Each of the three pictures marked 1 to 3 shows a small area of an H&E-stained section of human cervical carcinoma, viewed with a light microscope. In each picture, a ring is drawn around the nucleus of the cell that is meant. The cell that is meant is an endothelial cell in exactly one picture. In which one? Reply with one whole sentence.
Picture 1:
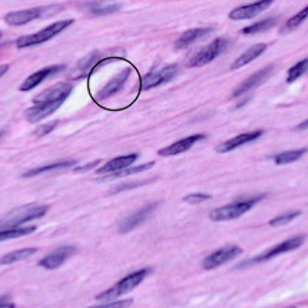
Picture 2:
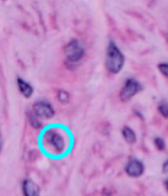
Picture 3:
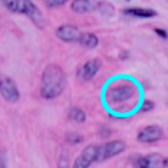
Picture 1 shows the endothelial cell.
